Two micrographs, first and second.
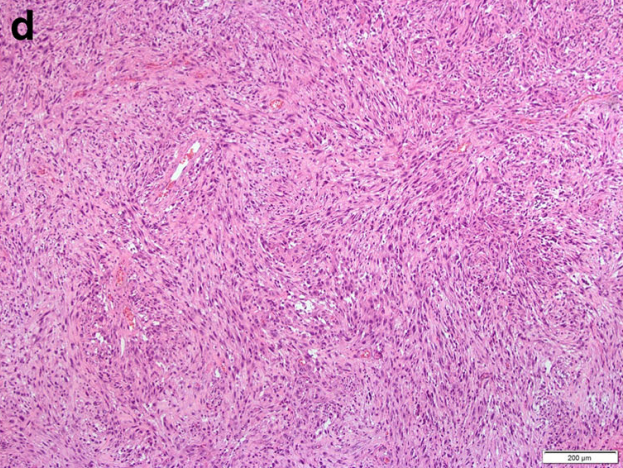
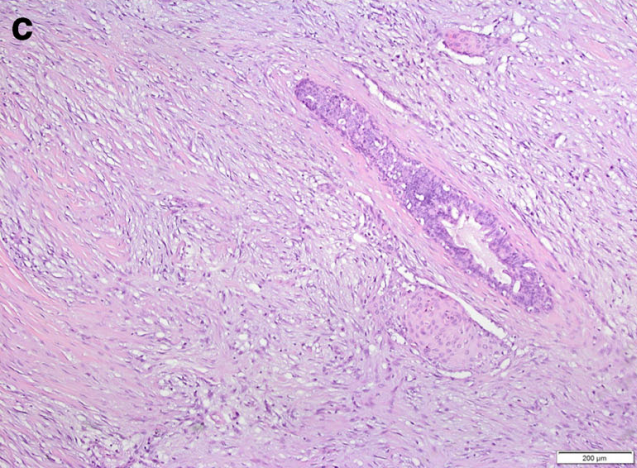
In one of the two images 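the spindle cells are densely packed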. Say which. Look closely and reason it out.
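Second image: spindle cells lie loosely in a pale, light-staining background with much space between them. First image: spindle cell nuclei are crowded closely together, giving a dark, cell-rich field. That points to this answer: the first image.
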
